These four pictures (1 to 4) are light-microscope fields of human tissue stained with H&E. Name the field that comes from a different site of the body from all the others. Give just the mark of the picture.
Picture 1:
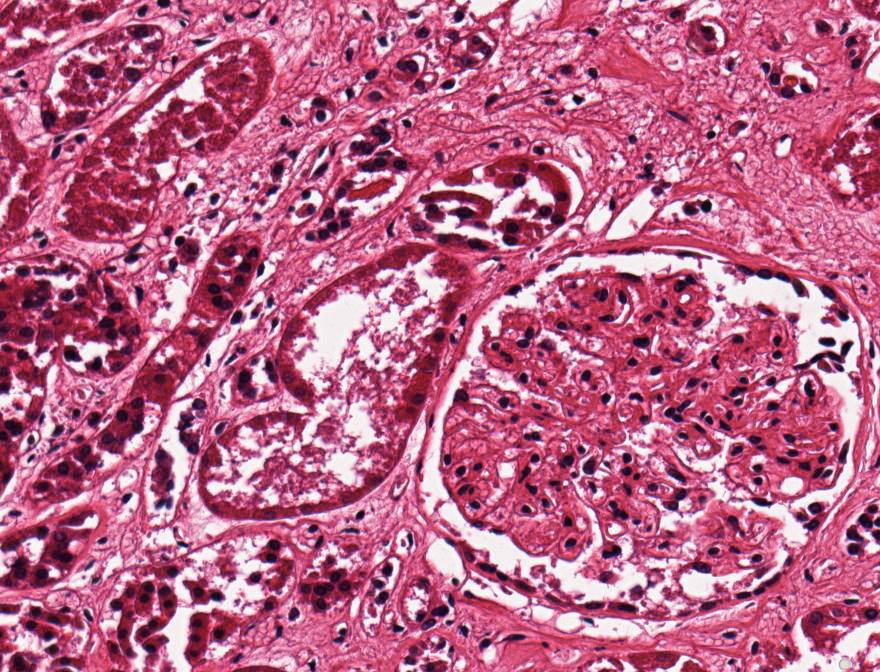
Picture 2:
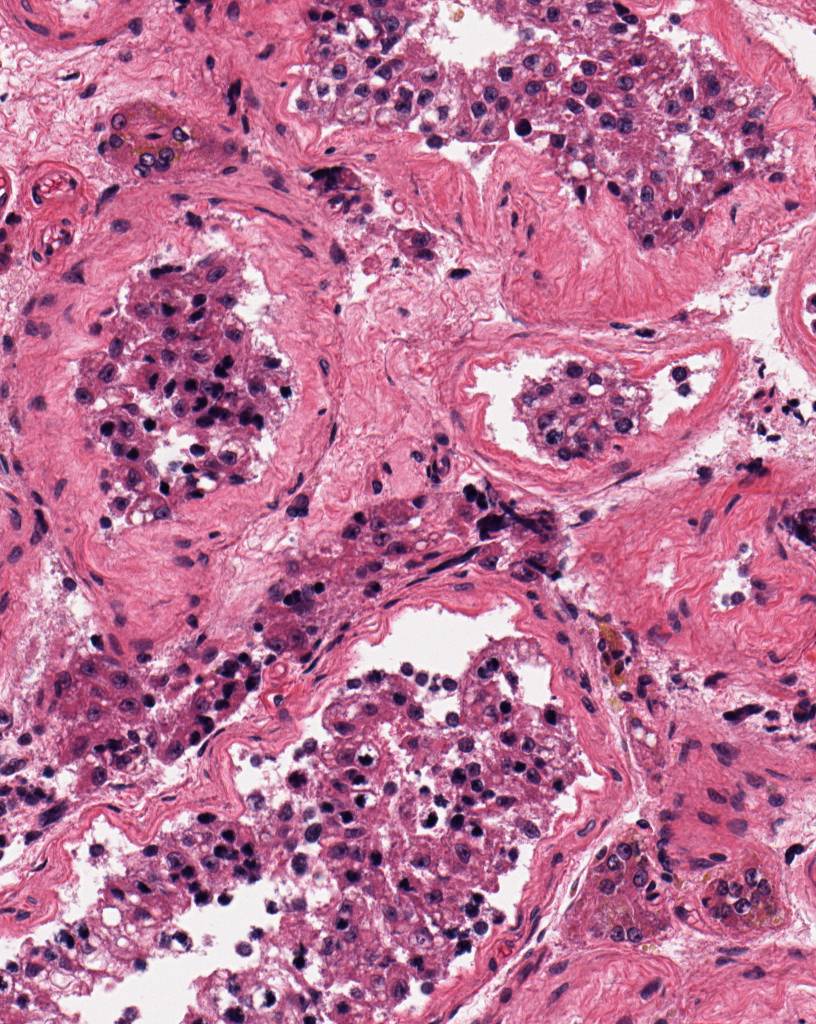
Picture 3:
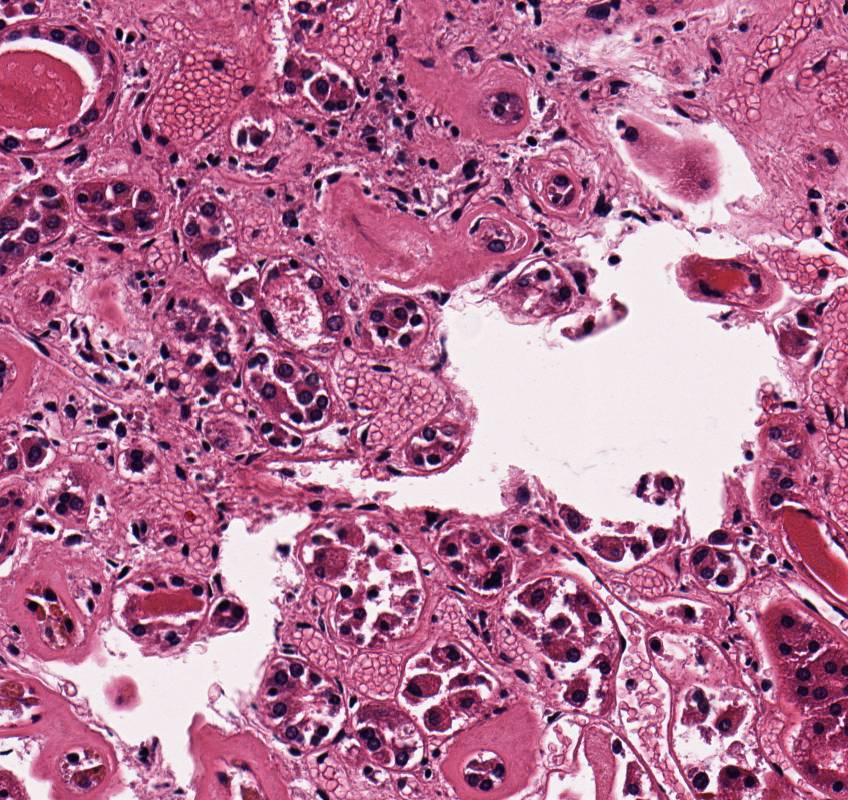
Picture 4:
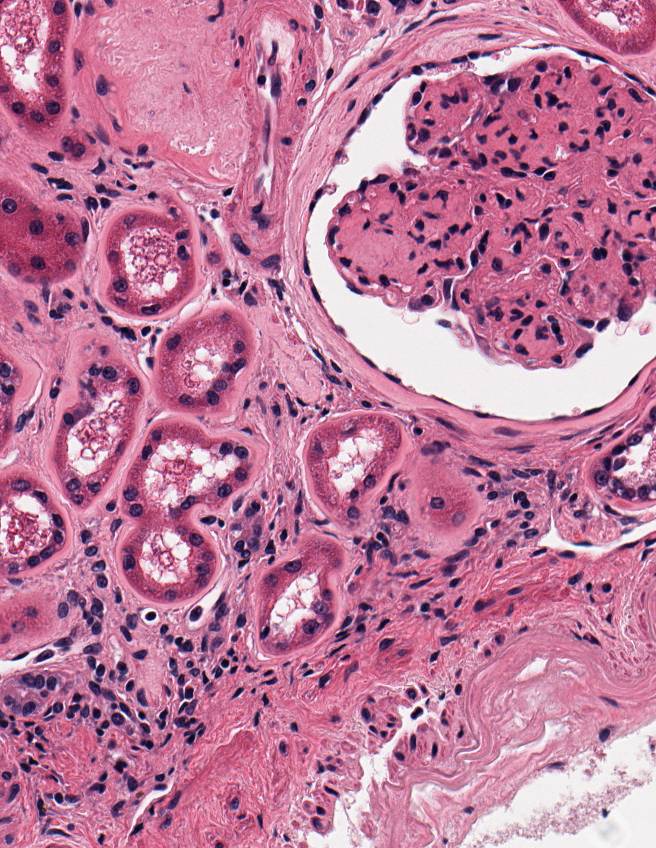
2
